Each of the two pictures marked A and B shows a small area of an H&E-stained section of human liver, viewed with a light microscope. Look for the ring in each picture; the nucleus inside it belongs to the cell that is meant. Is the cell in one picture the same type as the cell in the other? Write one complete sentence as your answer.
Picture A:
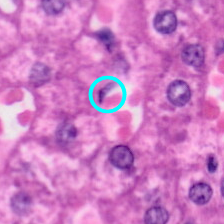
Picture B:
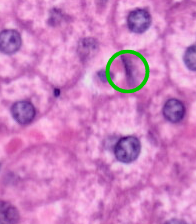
Yes; the cells in both pictures are endothelial cells.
